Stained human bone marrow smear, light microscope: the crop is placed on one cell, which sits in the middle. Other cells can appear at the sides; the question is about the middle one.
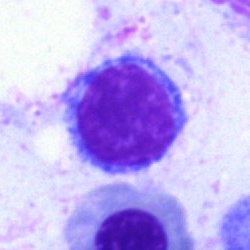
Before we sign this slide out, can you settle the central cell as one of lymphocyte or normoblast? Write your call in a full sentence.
The cell at the heart of this crop is a lymphocyte.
